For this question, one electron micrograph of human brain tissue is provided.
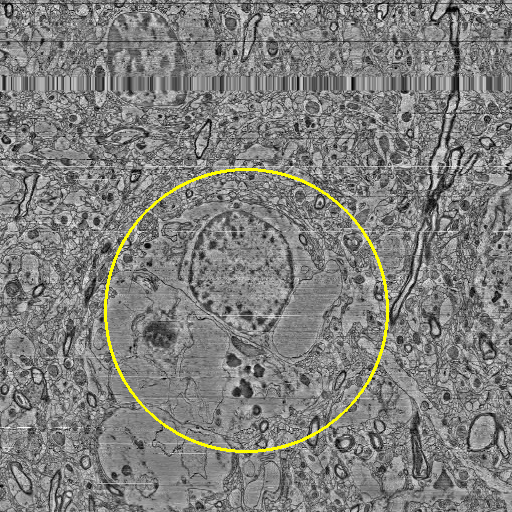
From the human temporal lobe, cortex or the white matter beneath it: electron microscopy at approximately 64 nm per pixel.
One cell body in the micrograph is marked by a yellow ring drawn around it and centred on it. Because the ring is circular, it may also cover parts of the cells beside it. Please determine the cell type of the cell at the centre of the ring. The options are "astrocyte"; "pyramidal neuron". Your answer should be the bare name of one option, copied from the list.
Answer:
astrocyte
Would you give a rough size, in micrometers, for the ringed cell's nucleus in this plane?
In this plane, approximately 8 by 7 micrometers.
